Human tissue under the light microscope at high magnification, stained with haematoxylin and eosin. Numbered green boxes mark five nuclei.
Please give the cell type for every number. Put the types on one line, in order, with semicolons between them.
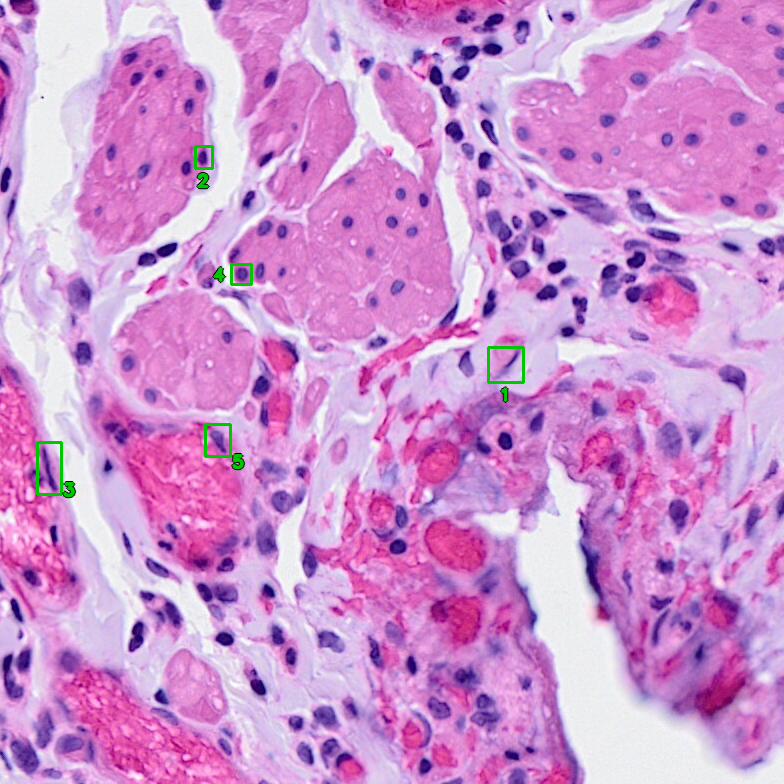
endothelial cell; smooth muscle cell; endothelial cell; smooth muscle cell; endothelial cell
